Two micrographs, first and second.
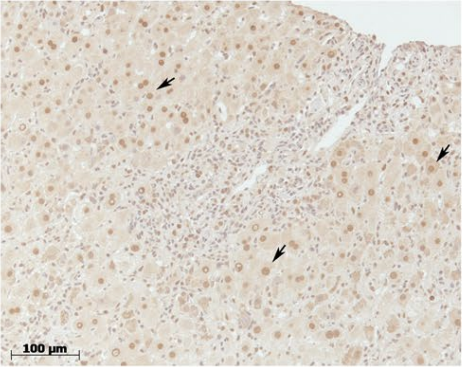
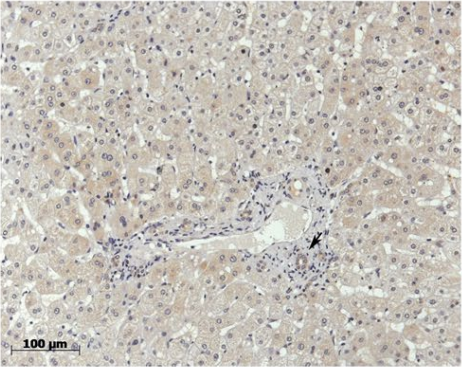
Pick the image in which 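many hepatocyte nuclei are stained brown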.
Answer: The first image.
